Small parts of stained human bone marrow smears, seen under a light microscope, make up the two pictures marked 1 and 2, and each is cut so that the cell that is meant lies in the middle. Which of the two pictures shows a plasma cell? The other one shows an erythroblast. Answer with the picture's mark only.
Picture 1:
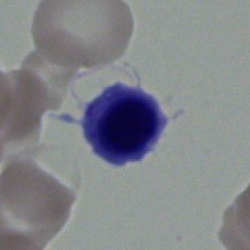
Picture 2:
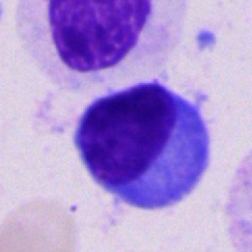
2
